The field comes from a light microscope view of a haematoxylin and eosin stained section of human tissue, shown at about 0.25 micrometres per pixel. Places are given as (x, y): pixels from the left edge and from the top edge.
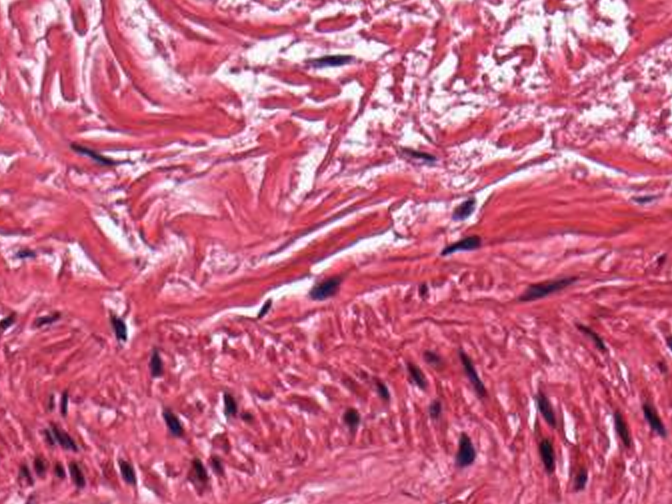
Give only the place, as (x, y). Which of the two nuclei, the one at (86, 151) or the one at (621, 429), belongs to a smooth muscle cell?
(621, 429)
